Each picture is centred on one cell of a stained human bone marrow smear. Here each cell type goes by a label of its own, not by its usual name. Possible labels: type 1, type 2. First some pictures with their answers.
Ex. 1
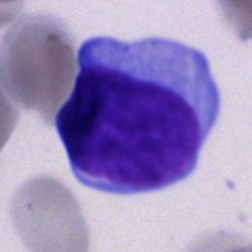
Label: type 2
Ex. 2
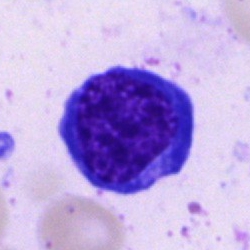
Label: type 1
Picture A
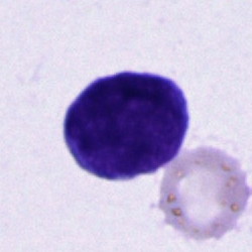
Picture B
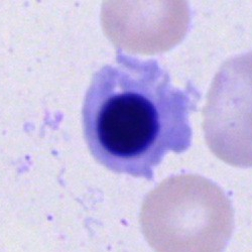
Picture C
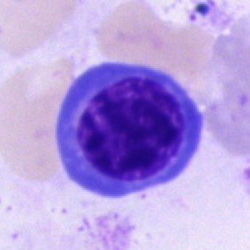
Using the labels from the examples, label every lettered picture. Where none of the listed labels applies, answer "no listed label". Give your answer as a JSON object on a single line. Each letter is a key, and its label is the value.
{"A": "type 2", "B": "type 1", "C": "type 1"}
